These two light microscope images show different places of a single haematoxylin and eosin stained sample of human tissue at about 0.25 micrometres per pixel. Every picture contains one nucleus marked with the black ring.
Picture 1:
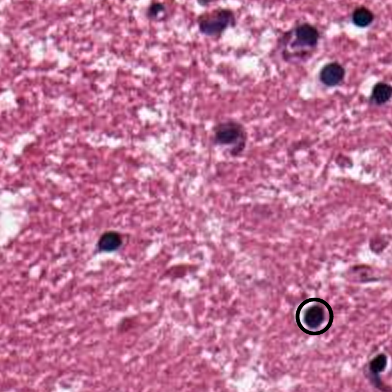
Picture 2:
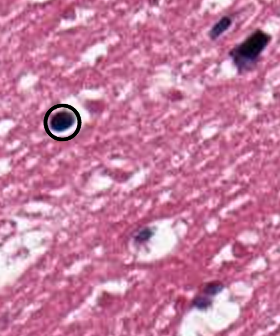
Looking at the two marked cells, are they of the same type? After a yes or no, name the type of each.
Yes, both are oligodendrocytes.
